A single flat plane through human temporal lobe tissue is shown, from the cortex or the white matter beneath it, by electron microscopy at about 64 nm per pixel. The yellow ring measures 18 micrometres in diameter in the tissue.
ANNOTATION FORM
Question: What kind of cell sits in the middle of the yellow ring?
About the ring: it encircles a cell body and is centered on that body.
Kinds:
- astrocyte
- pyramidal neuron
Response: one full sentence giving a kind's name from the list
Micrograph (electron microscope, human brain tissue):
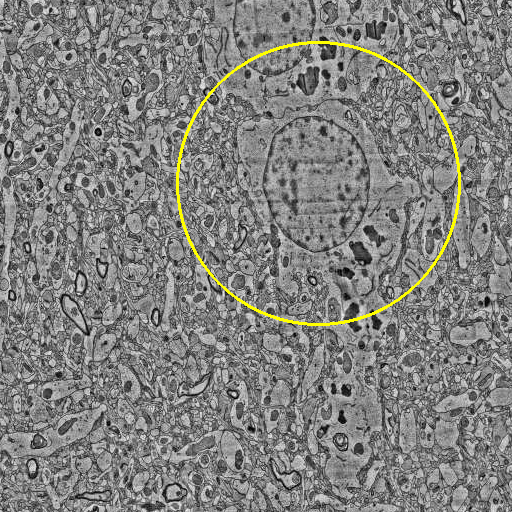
The kind of cell found at the center of the yellow ring in the micrograph is an astrocyte.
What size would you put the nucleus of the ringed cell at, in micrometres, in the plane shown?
The nucleus is approximately 9 micrometers long by 7 micrometers wide in this plane.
